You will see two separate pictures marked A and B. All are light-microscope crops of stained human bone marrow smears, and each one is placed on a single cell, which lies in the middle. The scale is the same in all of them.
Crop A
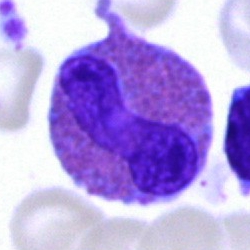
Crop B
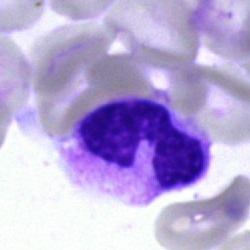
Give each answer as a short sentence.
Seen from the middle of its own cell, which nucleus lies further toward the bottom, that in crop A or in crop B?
In crop A the nucleus is shifted more toward the bottom.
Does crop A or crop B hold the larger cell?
It is the cell in crop A, about 2 times as large in area as the cell in crop B.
